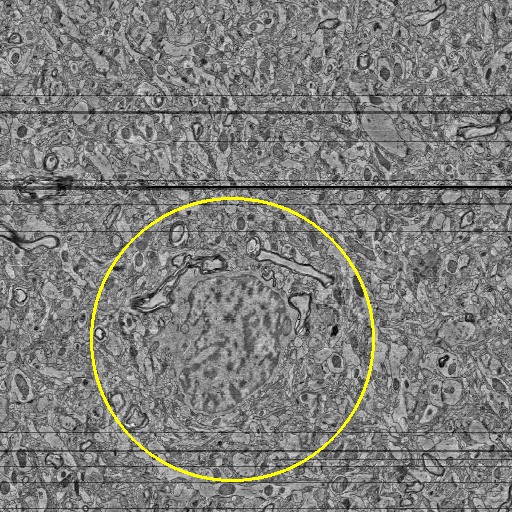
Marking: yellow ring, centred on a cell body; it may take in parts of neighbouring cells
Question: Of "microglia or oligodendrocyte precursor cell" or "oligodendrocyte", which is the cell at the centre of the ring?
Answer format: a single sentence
The ring surrounds the body of an oligodendrocyte.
